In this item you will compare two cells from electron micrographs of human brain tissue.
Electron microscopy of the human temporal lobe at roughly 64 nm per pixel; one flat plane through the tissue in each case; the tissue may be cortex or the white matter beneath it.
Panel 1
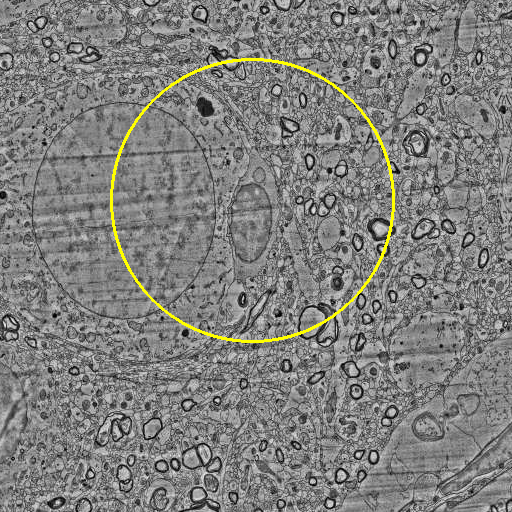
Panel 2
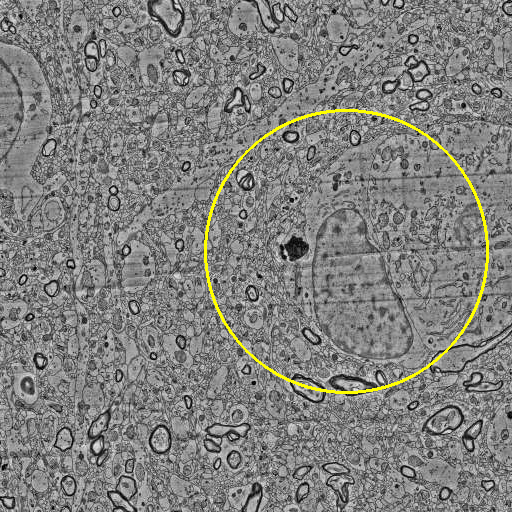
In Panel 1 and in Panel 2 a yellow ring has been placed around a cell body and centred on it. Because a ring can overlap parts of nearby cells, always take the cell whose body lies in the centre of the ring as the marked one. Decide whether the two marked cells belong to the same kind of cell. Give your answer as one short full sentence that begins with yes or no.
No, the two marked cells belong to two kinds of cell.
